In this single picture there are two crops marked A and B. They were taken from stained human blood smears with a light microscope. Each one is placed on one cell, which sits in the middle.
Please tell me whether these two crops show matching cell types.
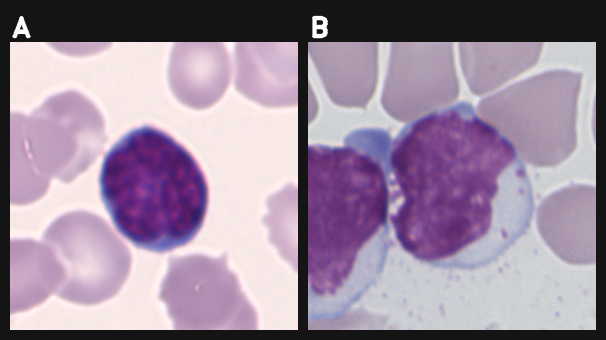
no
